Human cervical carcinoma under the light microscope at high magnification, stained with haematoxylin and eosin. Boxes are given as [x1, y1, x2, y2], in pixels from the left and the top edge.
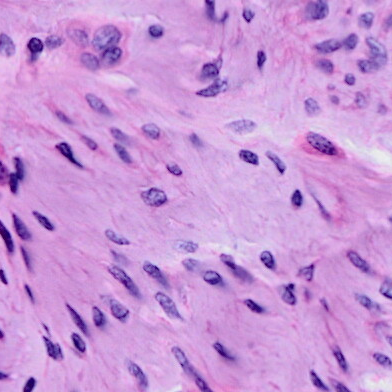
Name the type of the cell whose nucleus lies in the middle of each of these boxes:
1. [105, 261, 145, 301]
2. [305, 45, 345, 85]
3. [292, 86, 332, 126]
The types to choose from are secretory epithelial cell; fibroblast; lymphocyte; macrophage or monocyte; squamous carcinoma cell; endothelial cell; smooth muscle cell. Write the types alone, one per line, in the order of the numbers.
fibroblast
smooth muscle cell
smooth muscle cell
